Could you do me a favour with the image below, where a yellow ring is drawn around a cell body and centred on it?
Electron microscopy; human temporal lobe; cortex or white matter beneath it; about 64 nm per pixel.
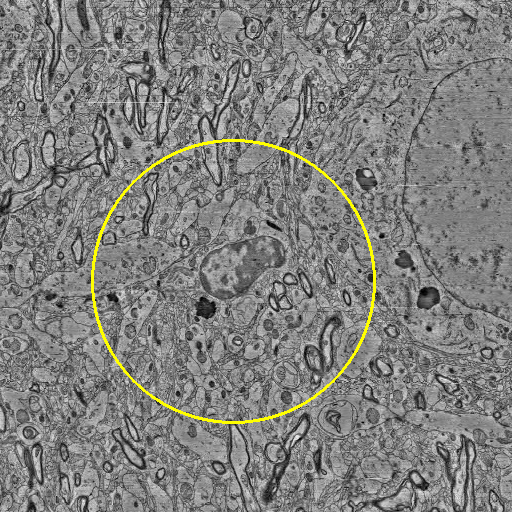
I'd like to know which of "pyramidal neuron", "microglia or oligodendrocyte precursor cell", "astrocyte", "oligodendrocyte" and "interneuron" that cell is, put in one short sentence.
The cell at the ring's centre is a microglial cell or oligodendrocyte precursor cell.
